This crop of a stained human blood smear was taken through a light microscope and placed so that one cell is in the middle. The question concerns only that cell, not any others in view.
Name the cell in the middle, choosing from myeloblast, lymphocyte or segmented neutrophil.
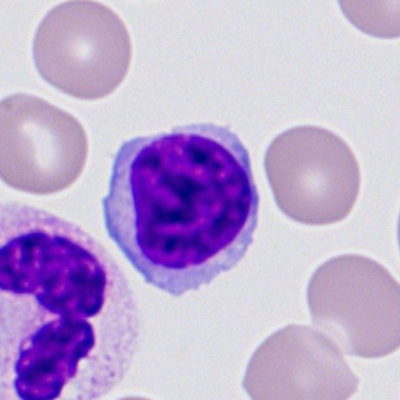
lymphocyte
